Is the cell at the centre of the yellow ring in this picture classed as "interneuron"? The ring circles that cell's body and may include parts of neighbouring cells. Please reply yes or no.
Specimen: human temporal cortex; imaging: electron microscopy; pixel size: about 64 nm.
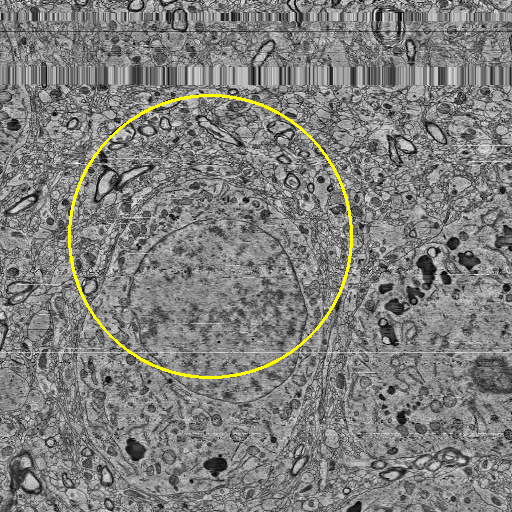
Yes, it is of that kind.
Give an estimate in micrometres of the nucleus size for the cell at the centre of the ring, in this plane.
The nucleus is approximately 12 micrometers across in this plane.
